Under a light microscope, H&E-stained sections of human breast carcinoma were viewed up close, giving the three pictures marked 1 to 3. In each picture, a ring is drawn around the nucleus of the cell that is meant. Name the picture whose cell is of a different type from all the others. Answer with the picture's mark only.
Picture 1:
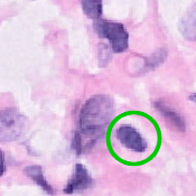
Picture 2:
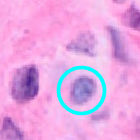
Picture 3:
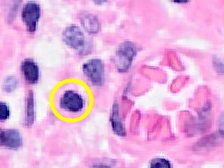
2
